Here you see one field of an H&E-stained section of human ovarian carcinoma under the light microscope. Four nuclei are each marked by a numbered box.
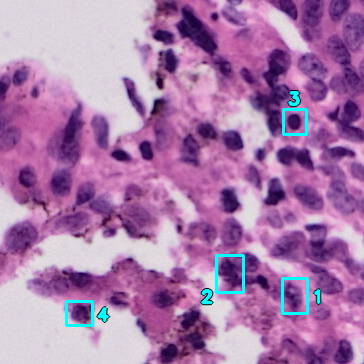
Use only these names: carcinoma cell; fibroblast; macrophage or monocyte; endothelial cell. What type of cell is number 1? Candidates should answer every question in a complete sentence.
The cell numbered 1 represents a macrophage or monocyte.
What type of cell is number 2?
The cell that bears the number 2 is a carcinoma cell.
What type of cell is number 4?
The cell bearing label 4 corresponds to a macrophage or monocyte.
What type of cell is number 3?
The marked cell bearing number 3 is a macrophage or monocyte.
